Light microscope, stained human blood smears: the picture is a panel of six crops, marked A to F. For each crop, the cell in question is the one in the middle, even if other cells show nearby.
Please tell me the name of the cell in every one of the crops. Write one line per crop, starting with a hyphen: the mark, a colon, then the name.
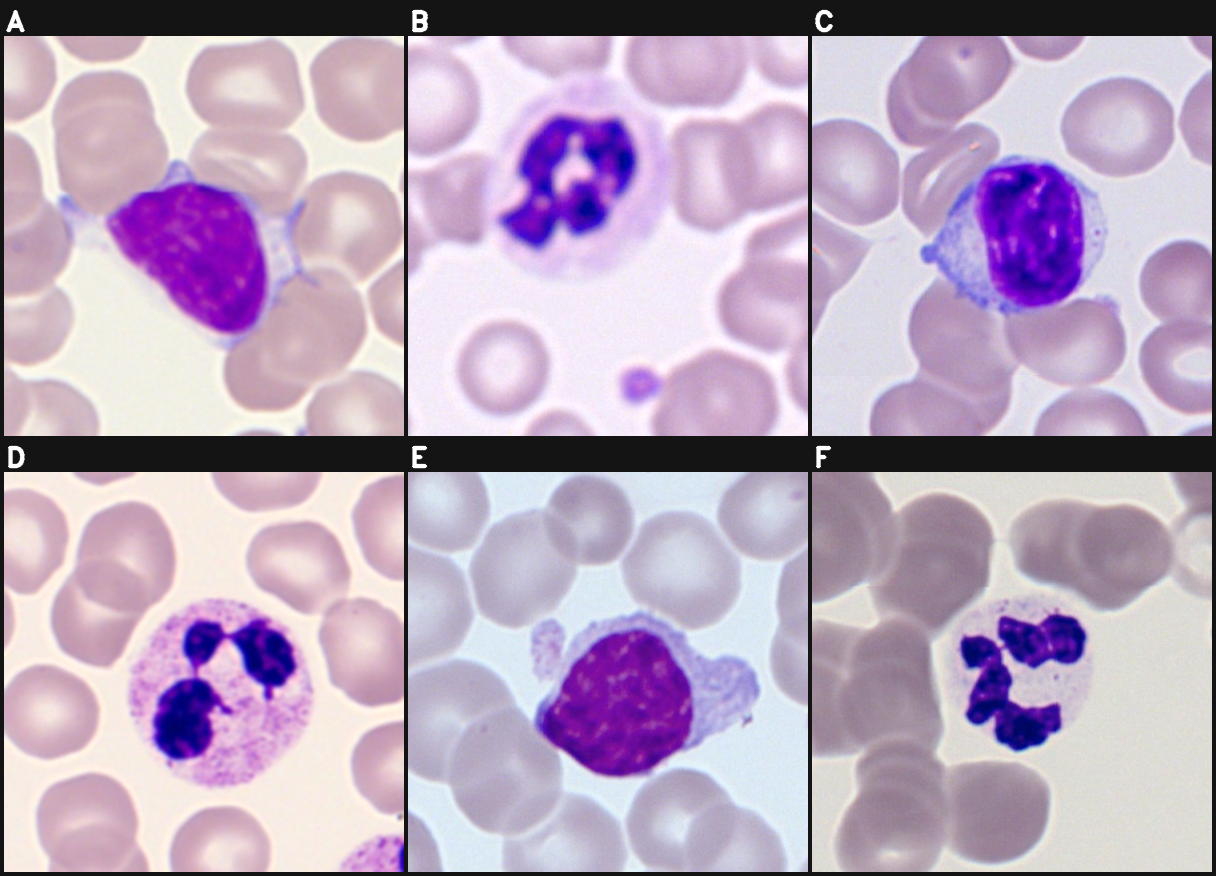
- A: lymphocyte
- B: segmented neutrophil
- C: lymphocyte
- D: segmented neutrophil
- E: lymphocyte
- F: segmented neutrophil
